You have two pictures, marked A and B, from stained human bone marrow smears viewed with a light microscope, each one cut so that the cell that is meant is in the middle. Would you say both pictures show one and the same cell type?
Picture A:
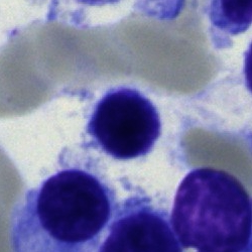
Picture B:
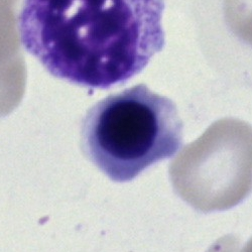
no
